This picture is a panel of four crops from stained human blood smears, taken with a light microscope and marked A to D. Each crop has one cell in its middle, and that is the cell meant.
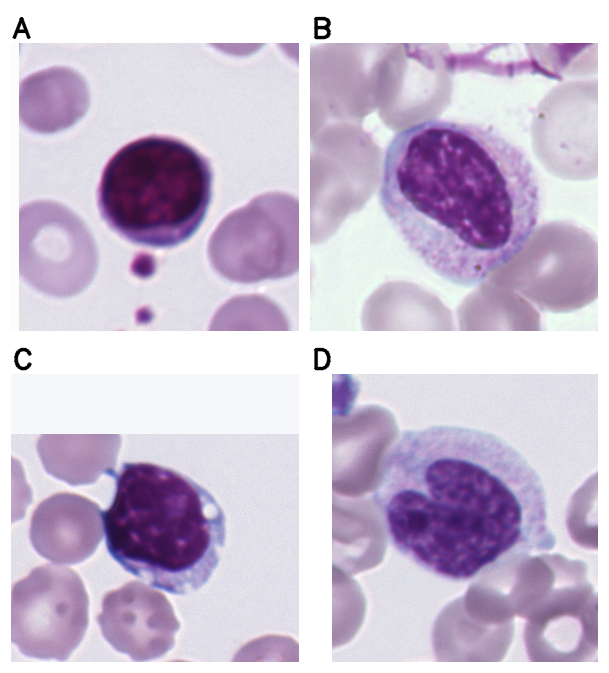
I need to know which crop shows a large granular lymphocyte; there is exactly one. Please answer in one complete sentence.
The crop in which a large granular lymphocyte is shown is crop A.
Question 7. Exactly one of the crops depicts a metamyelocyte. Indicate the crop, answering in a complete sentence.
Of the crops given, a metamyelocyte is found in crop B.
